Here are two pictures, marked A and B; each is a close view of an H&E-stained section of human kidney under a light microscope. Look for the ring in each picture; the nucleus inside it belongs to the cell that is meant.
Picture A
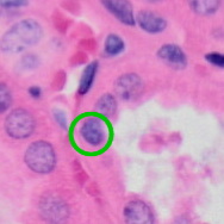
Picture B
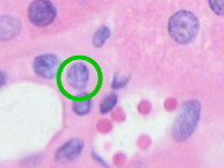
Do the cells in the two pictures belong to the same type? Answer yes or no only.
no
